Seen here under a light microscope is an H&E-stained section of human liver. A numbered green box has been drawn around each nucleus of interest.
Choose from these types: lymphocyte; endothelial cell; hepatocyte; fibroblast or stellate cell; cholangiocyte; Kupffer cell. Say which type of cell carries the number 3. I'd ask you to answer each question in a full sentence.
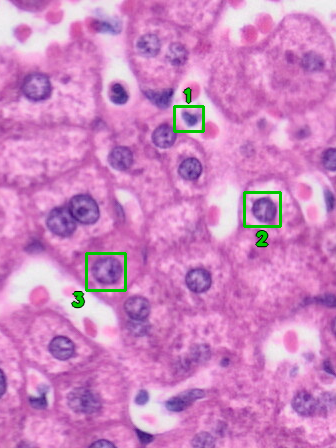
In this section, number 3 marks a hepatocyte.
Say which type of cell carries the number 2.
At number 2, the marked cell is a hepatocyte.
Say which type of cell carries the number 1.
The expected answer is that cell 1 is a lymphocyte.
